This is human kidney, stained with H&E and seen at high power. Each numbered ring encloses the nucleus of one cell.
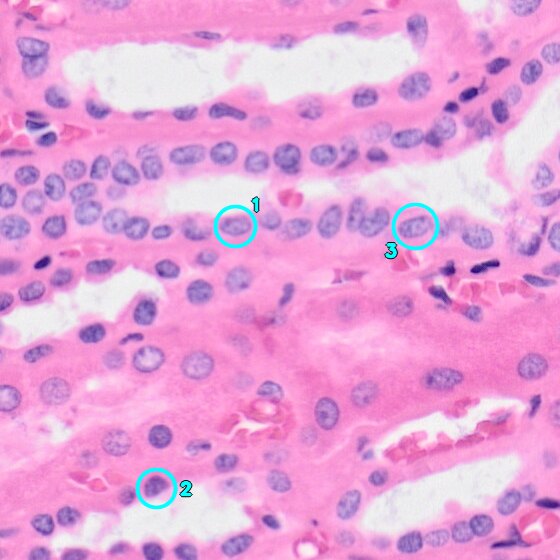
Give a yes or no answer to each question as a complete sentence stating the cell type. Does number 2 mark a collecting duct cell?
No, the nucleus numbered 2 belongs to a loop of Henle or distal tubule cell, not a collecting duct cell.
